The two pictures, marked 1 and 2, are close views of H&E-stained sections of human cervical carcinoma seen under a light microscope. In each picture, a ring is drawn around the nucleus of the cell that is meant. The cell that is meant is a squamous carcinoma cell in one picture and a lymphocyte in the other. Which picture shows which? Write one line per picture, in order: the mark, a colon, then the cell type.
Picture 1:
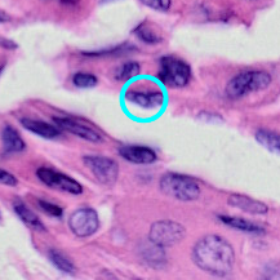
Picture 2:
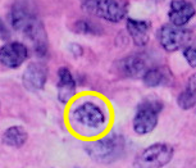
1: squamous carcinoma cell
2: lymphocyte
